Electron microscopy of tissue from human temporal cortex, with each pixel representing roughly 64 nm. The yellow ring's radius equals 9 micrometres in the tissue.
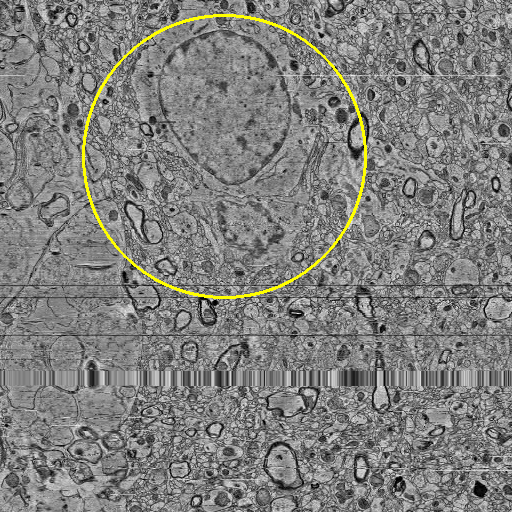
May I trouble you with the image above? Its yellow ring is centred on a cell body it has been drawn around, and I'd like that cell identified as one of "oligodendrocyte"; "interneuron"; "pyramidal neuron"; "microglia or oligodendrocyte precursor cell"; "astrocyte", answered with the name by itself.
astrocyte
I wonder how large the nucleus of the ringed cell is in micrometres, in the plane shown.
About 10 by 8 micrometres in this plane.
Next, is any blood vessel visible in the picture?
Yes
